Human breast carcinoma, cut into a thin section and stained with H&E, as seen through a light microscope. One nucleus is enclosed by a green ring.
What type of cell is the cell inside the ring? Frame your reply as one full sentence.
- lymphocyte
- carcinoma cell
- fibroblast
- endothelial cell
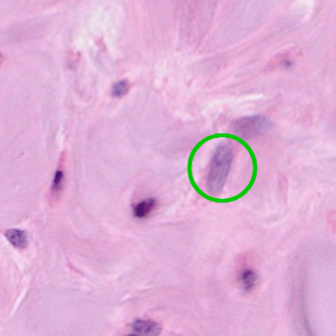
For cell typing purposes, the cell inside the ring is a fibroblast.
